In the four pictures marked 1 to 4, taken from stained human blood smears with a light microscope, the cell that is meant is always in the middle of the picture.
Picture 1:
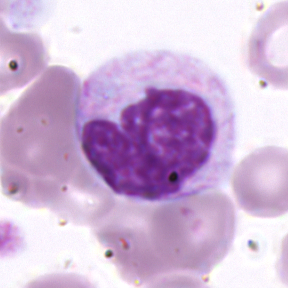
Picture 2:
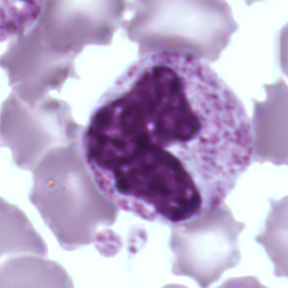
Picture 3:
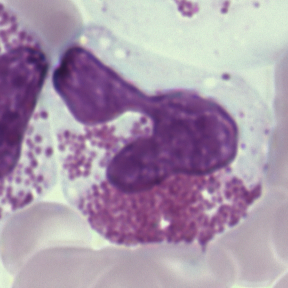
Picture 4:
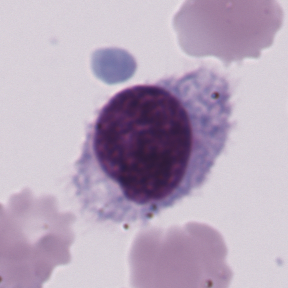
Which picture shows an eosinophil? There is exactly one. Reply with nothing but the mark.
3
